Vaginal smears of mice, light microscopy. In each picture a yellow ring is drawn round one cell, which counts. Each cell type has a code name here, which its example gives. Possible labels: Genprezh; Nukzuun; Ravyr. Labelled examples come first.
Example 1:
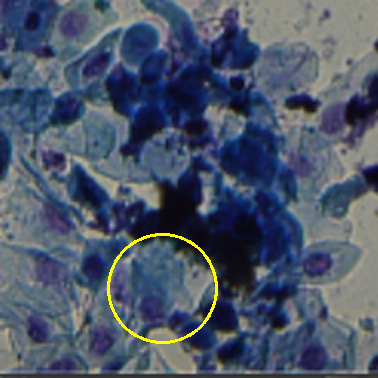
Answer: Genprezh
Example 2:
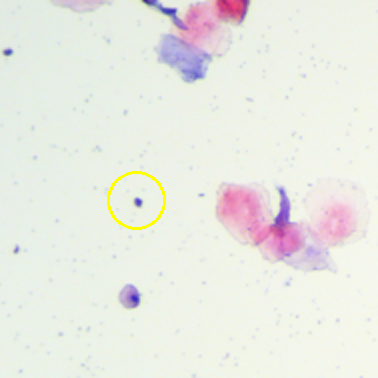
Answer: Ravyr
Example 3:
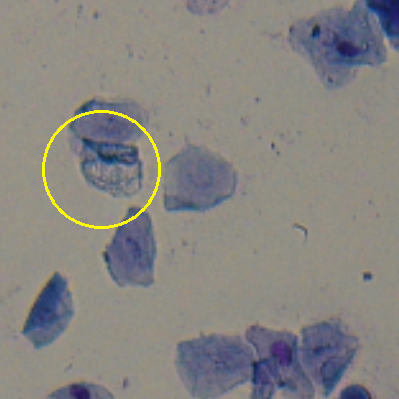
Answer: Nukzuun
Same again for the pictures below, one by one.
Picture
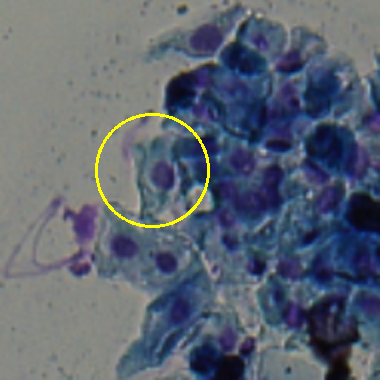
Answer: Genprezh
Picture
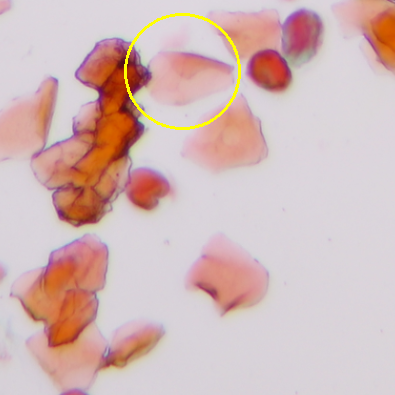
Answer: Nukzuun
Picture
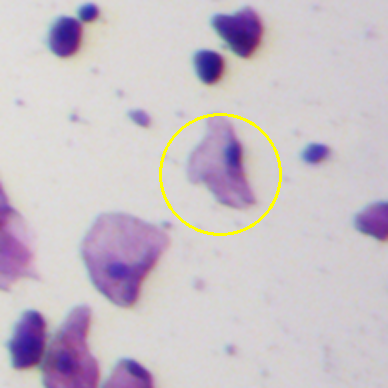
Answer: Genprezh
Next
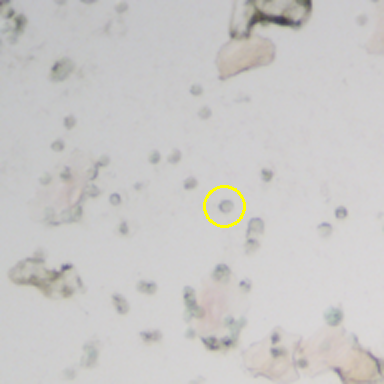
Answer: Ravyr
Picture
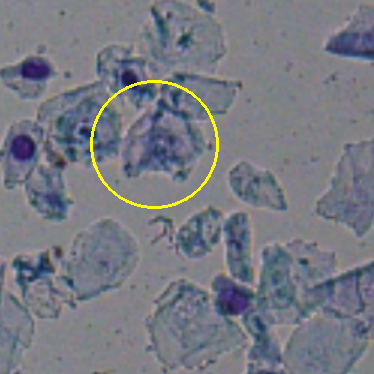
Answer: Nukzuun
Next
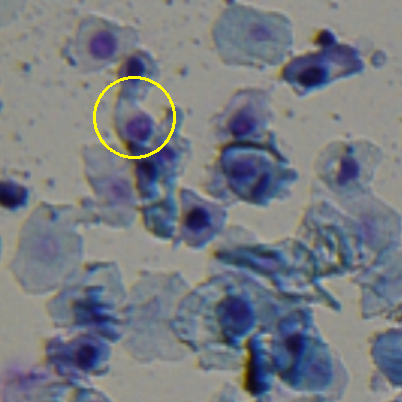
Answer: Genprezh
